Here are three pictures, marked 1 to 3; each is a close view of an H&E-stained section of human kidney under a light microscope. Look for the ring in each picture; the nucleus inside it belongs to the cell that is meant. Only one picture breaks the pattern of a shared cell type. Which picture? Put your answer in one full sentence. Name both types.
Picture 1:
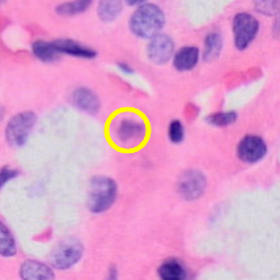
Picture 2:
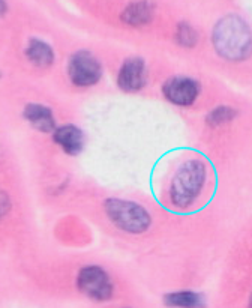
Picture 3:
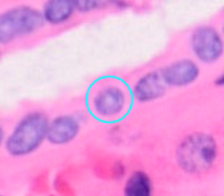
Picture 3 differs, because its cell is a collecting duct cell and the rest are “loop of Henle or distal tubule cells”.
